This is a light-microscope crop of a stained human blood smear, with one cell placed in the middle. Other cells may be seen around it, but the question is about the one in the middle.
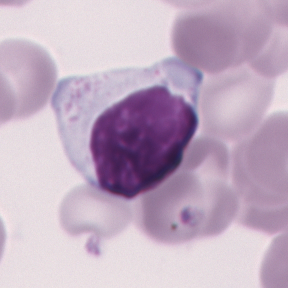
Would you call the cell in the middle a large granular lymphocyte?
yes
